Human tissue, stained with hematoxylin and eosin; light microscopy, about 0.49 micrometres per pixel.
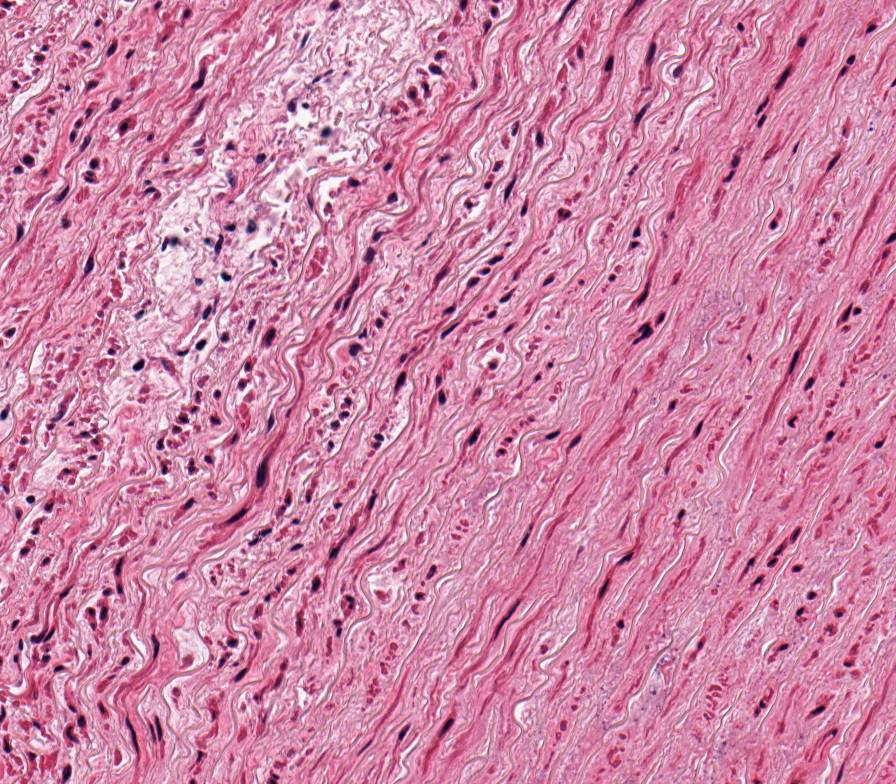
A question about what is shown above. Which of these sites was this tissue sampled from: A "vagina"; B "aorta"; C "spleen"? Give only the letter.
B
